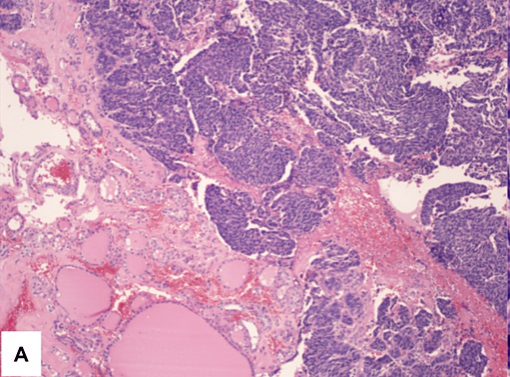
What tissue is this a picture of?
Thyroid gland.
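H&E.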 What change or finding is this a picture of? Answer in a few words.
Tumor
